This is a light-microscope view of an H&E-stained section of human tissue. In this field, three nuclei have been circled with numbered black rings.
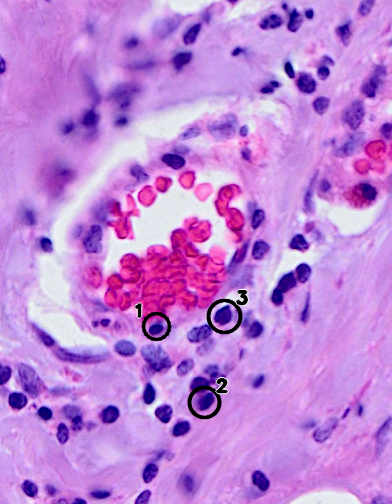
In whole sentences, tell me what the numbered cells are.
Cell 1 is an endothelial cell, cell 2 is a lymphocyte and cell 3 is a lymphocyte.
